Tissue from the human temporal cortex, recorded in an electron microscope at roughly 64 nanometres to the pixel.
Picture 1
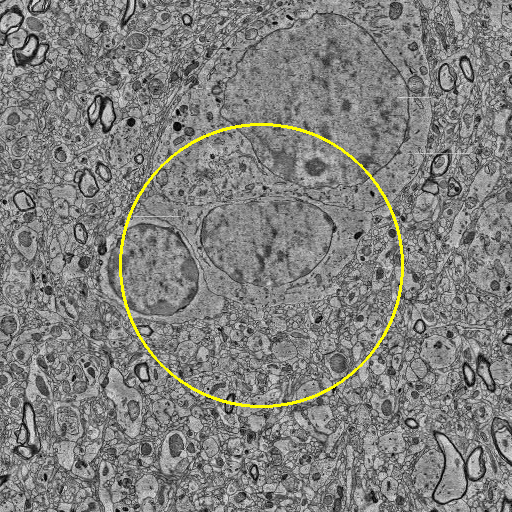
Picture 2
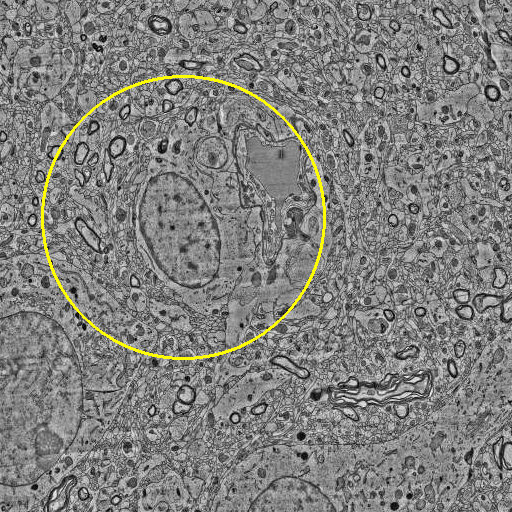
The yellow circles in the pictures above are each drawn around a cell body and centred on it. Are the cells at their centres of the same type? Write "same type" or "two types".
same type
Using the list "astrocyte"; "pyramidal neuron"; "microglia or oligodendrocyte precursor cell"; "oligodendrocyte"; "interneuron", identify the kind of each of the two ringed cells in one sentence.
The ring centre holds a microglial cell or oligodendrocyte precursor cell in each of the two pictures.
